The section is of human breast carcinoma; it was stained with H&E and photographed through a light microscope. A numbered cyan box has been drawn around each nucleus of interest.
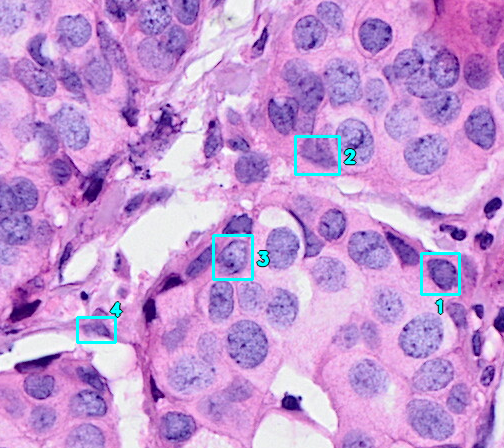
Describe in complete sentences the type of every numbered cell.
Cells 1, 2 and 3 are carcinoma cells. Cell 4 is a fibroblast.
